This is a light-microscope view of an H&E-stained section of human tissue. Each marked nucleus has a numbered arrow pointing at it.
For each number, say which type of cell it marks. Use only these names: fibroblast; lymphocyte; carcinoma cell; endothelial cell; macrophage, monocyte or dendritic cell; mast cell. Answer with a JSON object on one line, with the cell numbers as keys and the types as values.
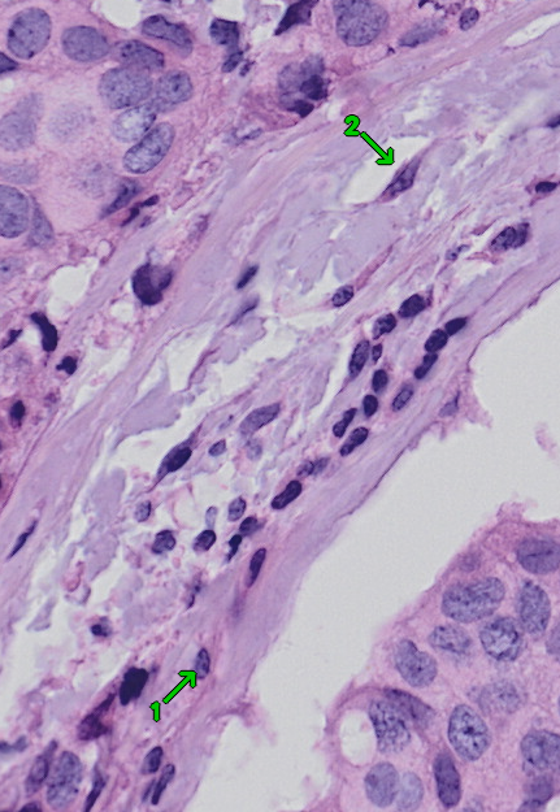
{"1": "mast cell", "2": "fibroblast"}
